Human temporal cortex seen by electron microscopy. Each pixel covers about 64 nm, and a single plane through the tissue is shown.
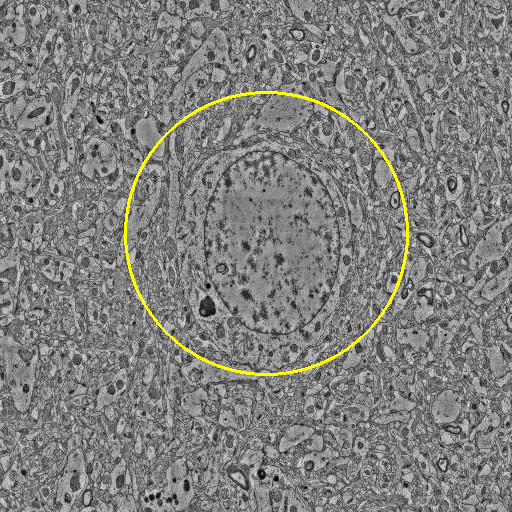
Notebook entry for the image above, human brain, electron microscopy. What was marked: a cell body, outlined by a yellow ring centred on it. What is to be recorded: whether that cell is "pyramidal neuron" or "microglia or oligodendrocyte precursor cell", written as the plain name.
pyramidal neuron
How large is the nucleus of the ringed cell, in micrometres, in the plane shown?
The nucleus works out at approximately 12 by 9 micrometres in this plane.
